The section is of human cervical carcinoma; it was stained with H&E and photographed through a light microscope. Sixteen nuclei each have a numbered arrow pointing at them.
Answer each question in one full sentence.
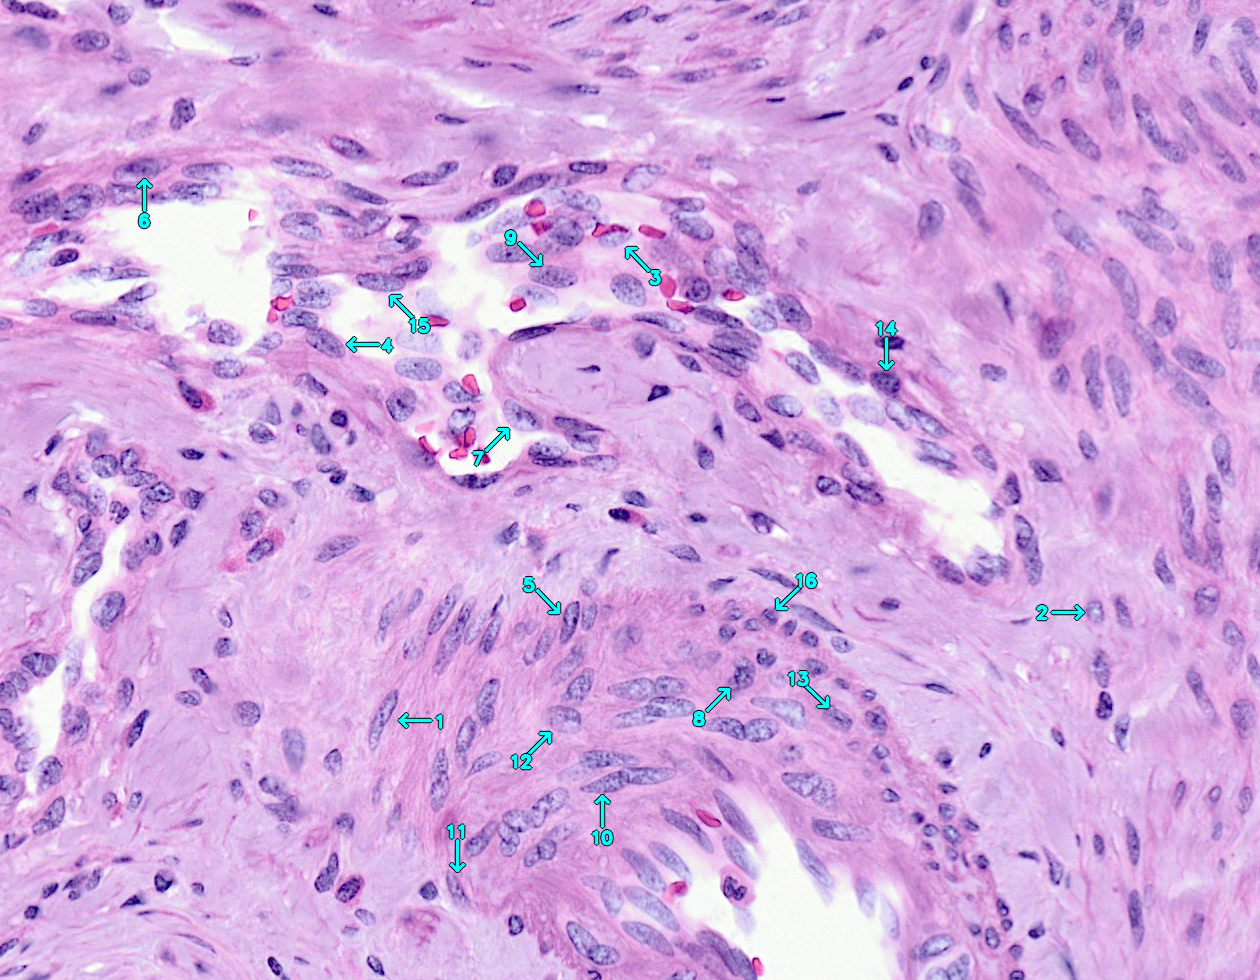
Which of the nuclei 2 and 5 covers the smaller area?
The smaller nucleus is 2, and 5 covers roughly 1.5 times its area.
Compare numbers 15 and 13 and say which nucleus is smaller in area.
Nucleus 13 is the smaller one; nucleus 15 covers about 1.5 times its area.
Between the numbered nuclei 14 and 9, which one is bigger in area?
Nucleus 9 is the larger one, covering about 1.5 times the area of nucleus 14.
